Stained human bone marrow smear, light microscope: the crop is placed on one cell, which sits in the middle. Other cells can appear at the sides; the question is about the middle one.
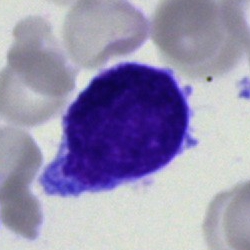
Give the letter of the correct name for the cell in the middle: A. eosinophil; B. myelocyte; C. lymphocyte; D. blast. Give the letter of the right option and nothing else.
D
